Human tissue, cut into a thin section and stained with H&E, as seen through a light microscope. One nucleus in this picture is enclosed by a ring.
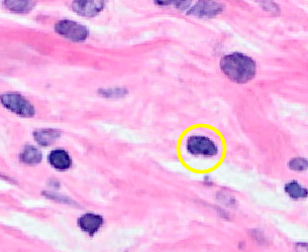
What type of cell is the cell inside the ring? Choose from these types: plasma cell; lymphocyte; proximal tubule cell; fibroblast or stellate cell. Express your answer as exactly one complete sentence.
The cell type represented by the cell inside the ring is that of a lymphocyte.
